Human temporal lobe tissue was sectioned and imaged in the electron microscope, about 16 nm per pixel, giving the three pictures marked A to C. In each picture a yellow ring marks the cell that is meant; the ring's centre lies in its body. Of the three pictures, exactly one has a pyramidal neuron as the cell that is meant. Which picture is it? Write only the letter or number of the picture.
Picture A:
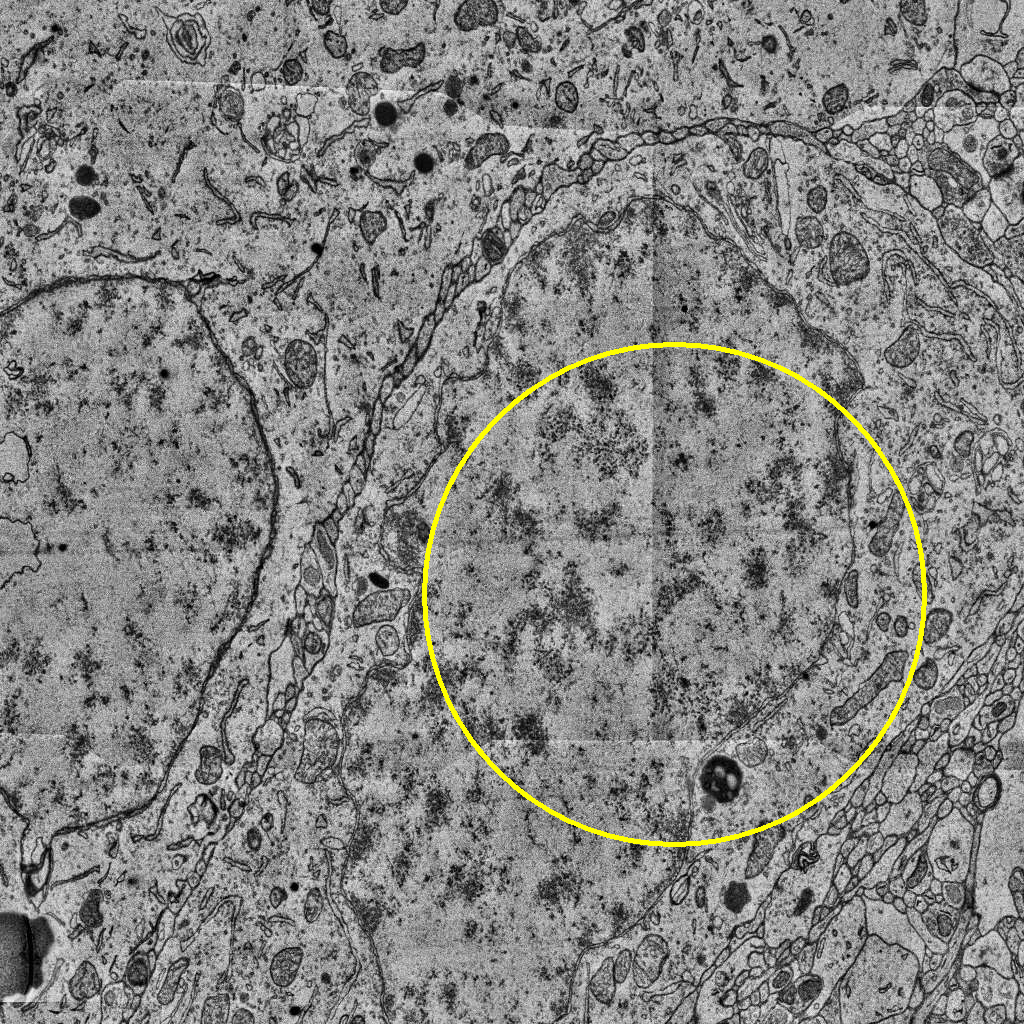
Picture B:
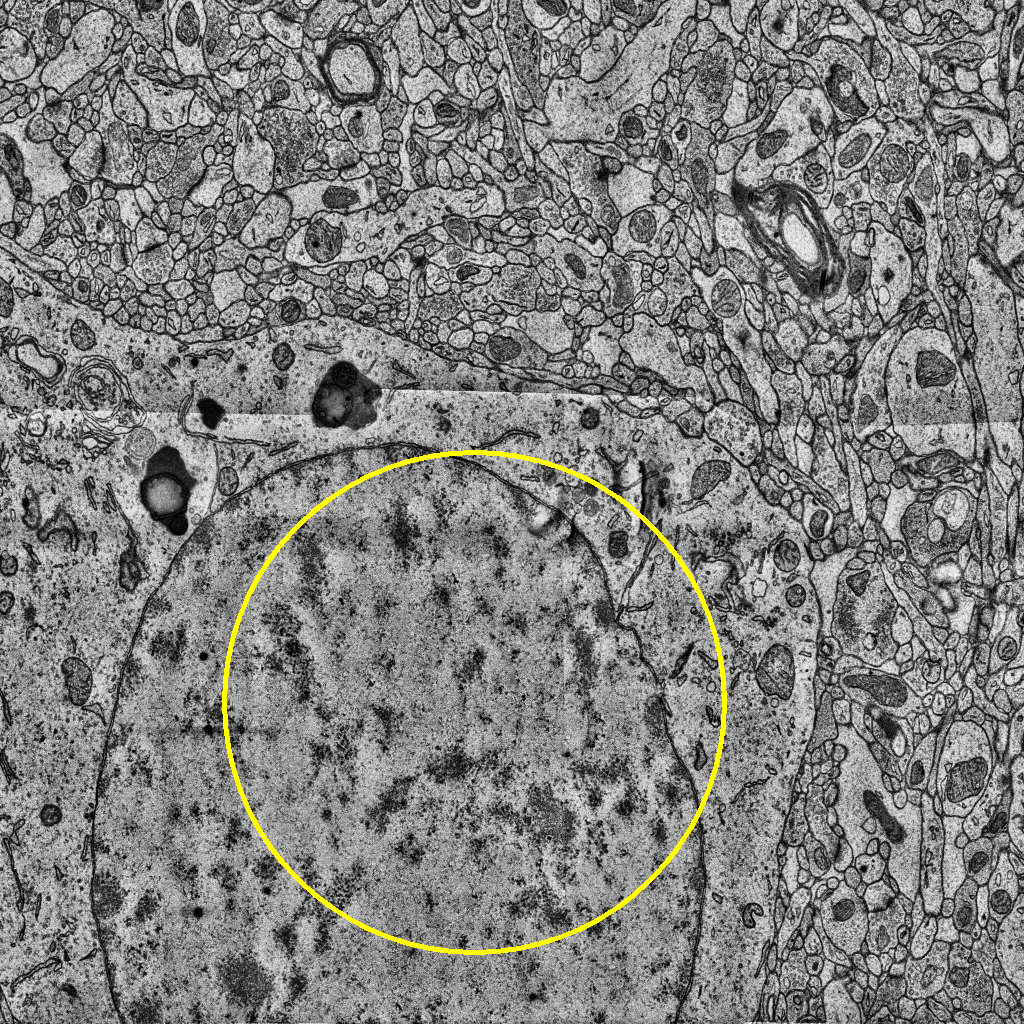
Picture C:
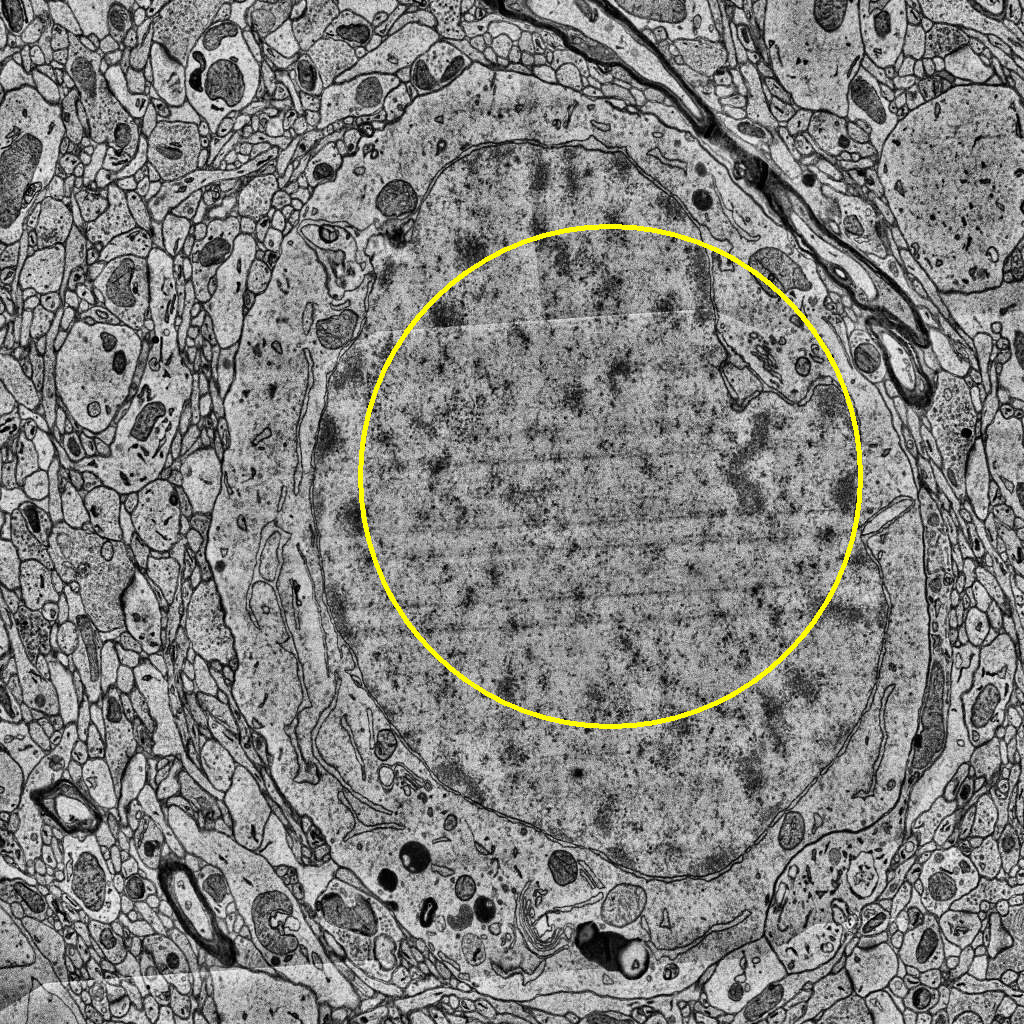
B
